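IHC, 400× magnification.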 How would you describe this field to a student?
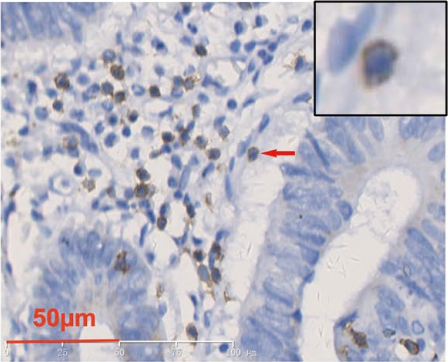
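Glandular tissue with columnar epithelium lining glands and a stroma densely infiltrated by lymphocytes. A few stained cells also lie near the epithelium. The epithelial cells have elongated, palisaded blue nuclei and are unstained.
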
